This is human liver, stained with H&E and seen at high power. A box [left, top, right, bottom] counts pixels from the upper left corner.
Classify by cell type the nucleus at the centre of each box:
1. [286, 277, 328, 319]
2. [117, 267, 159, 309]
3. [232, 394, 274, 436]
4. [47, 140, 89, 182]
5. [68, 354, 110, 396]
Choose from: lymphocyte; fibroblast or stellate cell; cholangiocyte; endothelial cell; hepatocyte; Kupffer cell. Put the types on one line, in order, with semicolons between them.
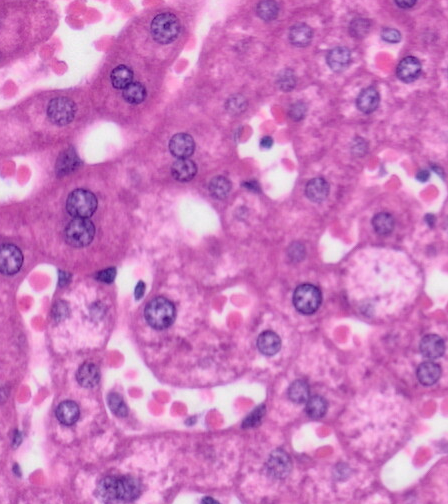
hepatocyte; lymphocyte; endothelial cell; endothelial cell; hepatocyte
